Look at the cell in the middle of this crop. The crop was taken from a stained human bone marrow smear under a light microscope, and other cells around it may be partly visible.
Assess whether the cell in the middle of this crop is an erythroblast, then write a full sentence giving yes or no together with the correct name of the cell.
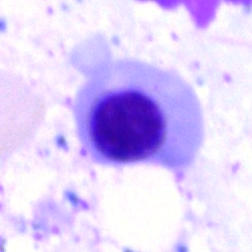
Yes, the identification of the central cell as an erythroblast is correct.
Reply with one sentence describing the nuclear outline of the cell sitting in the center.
The cell carries one compact nucleus shaped round, oval or like a kidney.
